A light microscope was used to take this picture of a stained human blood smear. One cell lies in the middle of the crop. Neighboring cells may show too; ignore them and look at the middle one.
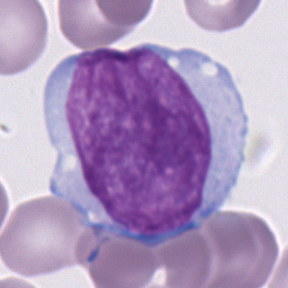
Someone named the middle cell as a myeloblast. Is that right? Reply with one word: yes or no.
yes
